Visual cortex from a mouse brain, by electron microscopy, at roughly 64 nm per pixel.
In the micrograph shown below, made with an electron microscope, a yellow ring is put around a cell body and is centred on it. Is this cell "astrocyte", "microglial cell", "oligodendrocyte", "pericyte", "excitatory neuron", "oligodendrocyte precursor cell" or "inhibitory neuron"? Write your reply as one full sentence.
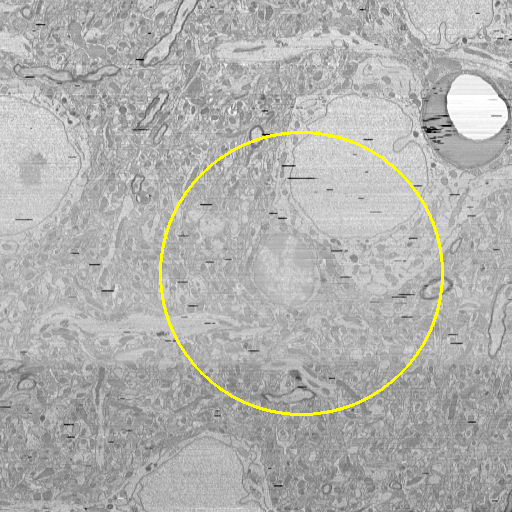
In the micrograph, an oligodendrocyte is the cell at the centre of the yellow ring.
